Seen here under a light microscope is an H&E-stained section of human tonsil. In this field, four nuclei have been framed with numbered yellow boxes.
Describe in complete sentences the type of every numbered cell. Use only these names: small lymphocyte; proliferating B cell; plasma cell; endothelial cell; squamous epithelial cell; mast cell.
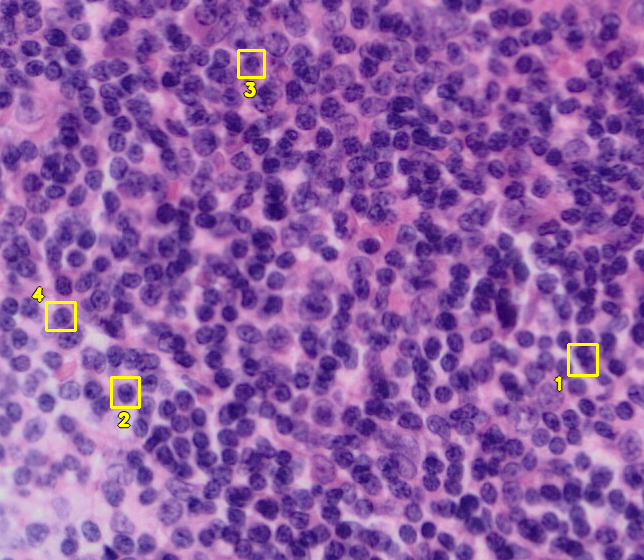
Cells 1, 2 and 4 are small lymphocytes. Cell 3 is a proliferating B cell.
